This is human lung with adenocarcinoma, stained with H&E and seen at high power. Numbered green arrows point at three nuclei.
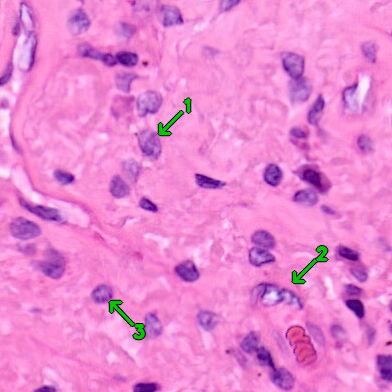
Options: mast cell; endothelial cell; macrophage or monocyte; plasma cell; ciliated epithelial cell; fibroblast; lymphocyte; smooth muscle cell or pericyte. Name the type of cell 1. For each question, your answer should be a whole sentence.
Identified as a fibroblast is the cell bearing the number 1.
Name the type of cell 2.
Cell 2 in the field of view is an endothelial cell.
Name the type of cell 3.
The correct answer for cell 3 is a mast cell.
